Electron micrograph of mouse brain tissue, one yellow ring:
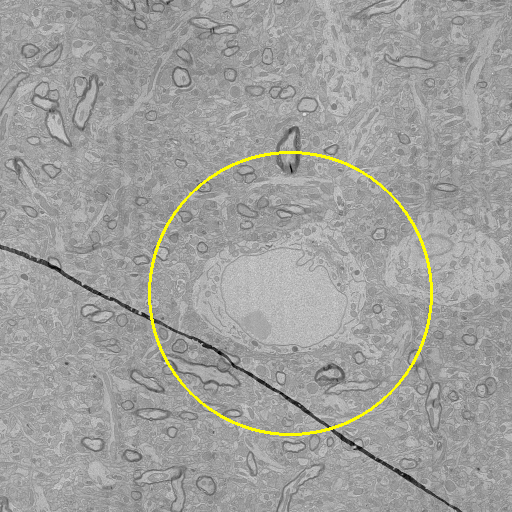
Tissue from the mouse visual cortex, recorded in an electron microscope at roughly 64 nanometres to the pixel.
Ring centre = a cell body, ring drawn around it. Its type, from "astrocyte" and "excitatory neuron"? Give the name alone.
excitatory neuron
